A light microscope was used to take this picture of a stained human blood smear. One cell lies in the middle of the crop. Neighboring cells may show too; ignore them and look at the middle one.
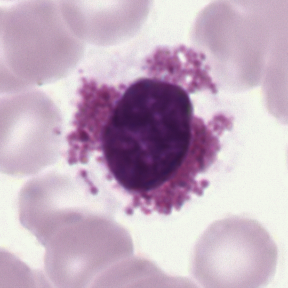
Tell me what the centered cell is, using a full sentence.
Of the cells in this crop, the central one is an eosinophil.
